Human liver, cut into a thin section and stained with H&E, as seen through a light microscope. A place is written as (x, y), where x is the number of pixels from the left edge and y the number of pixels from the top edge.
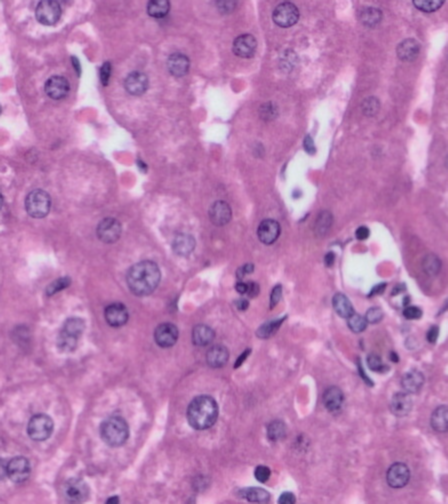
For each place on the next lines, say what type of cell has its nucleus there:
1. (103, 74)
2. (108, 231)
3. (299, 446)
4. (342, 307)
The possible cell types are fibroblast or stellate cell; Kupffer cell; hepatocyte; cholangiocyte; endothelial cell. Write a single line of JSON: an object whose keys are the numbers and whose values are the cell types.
{"1": "fibroblast or stellate cell", "2": "hepatocyte", "3": "hepatocyte", "4": "cholangiocyte"}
